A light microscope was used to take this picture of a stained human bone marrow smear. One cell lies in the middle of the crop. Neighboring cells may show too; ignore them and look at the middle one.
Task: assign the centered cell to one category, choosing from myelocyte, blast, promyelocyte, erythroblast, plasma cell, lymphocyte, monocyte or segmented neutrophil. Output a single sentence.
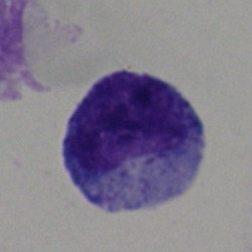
What the crop centres on is a promyelocyte.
